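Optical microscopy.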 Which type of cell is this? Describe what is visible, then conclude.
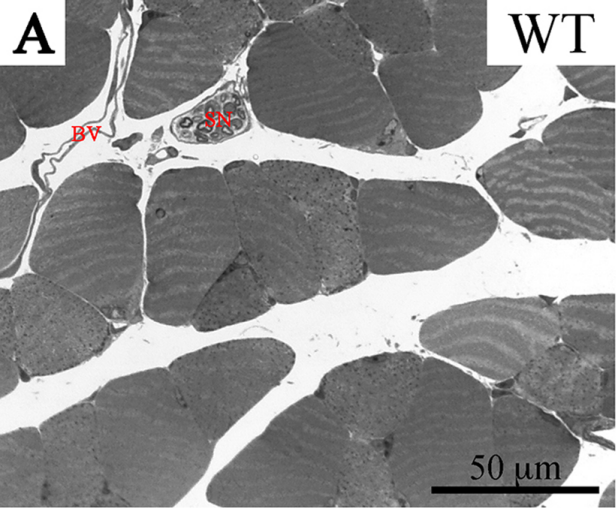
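Myofibers. Large polygonal profiles packed side by side, separated by thin pale gaps.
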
